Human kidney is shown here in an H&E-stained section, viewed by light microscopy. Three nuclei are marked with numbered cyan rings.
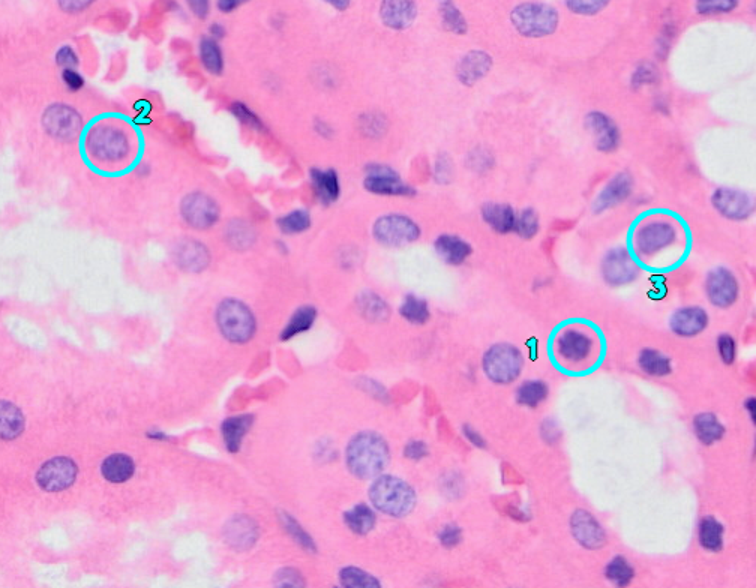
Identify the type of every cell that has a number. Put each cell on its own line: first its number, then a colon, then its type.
1: loop of Henle or distal tubule cell
2: proximal tubule cell
3: loop of Henle or distal tubule cell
